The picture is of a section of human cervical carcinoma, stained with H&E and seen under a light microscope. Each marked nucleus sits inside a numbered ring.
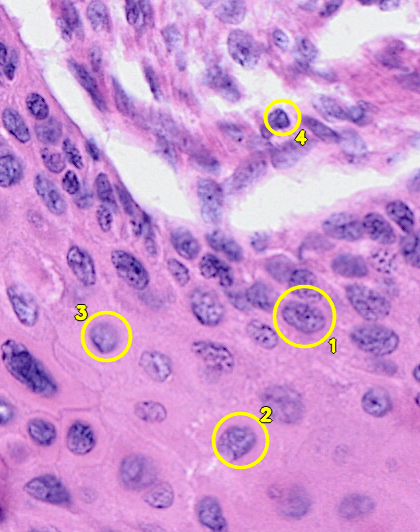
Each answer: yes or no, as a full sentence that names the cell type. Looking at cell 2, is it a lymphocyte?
No, the cell with number 2 is not a lymphocyte but a squamous carcinoma cell.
